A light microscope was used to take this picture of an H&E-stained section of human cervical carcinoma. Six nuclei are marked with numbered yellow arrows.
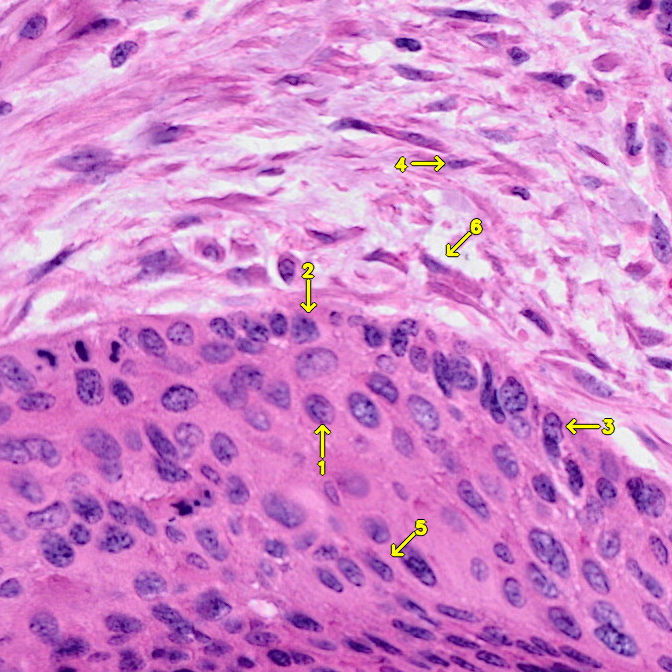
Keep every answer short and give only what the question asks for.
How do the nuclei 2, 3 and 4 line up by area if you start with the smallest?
4, 3, 2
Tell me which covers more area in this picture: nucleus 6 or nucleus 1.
1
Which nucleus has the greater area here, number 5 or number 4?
5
